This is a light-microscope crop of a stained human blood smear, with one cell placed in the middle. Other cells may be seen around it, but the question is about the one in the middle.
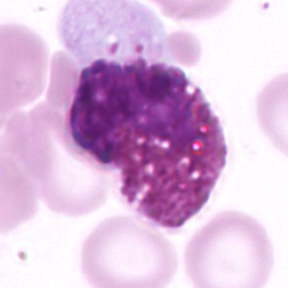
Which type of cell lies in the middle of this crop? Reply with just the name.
eosinophil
